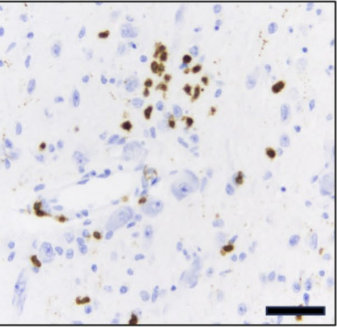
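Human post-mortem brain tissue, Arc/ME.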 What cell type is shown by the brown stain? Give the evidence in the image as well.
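Small round cells are stained dark brown. Other brown cells are scattered singly among blue nuclei.
Answer: inflammatory cells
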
